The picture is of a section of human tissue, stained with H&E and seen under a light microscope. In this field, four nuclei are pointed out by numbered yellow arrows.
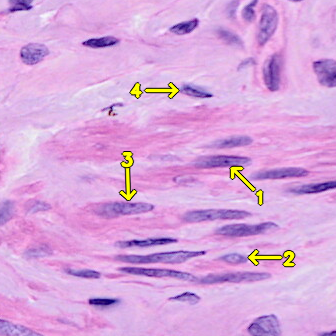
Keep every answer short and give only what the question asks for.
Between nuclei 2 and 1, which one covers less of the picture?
2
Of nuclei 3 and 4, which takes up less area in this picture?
4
